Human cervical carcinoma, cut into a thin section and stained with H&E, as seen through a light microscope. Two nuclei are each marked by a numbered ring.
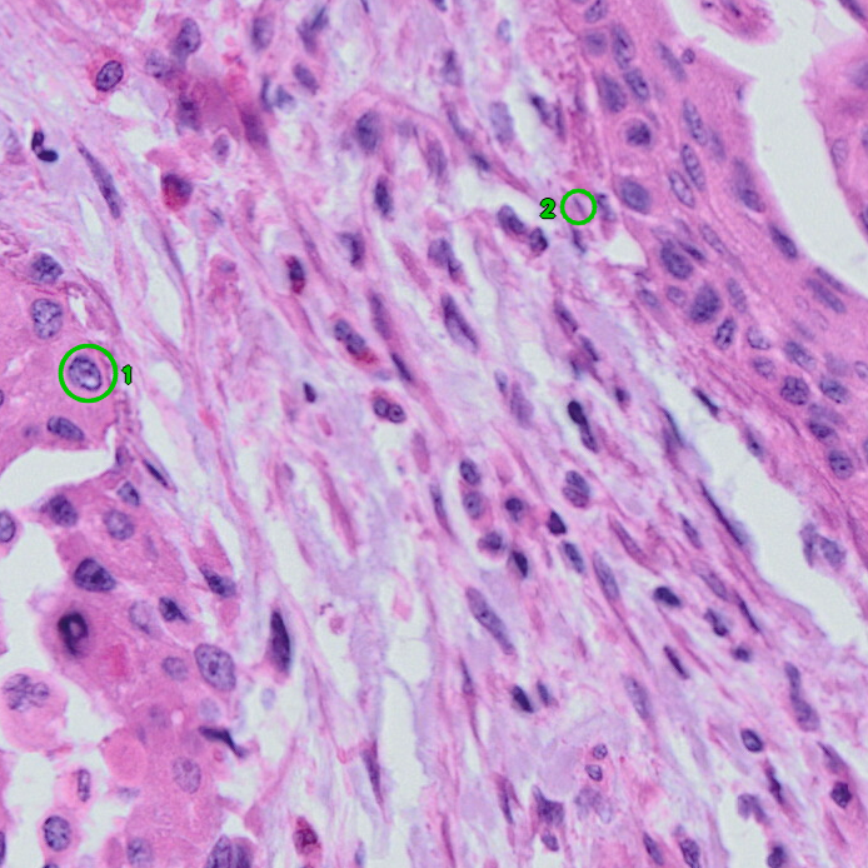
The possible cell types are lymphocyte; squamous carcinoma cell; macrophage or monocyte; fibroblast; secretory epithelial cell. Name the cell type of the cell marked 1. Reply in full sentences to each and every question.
The cell given label 1 is a squamous carcinoma cell.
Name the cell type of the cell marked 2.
Number 2 among the marked cells is a fibroblast.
